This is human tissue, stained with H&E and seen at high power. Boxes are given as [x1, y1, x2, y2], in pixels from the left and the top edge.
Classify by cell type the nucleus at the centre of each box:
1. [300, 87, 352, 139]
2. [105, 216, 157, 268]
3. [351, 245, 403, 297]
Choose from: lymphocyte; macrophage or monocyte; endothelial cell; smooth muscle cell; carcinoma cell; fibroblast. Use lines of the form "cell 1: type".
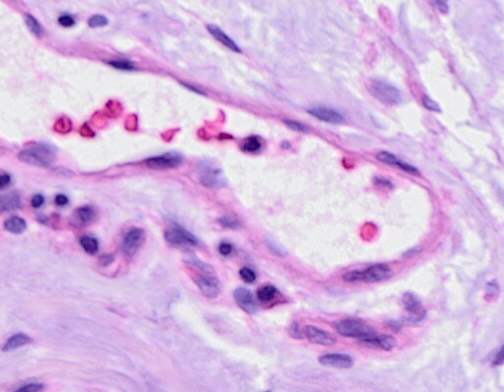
cell 1: fibroblast
cell 2: endothelial cell
cell 3: endothelial cell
